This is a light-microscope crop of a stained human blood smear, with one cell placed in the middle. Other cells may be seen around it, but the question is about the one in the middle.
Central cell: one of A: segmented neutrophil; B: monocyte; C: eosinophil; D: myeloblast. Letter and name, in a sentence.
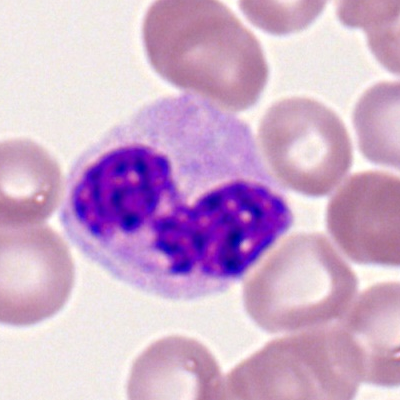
Of the options given, A is correct, the central cell being a segmented neutrophil.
